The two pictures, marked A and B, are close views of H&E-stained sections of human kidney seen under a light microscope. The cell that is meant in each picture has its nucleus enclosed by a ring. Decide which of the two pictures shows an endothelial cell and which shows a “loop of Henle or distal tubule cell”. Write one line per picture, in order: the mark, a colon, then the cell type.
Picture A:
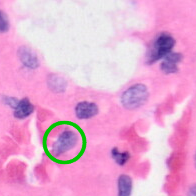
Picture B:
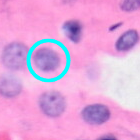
A: endothelial cell
B: loop of Henle or distal tubule cell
